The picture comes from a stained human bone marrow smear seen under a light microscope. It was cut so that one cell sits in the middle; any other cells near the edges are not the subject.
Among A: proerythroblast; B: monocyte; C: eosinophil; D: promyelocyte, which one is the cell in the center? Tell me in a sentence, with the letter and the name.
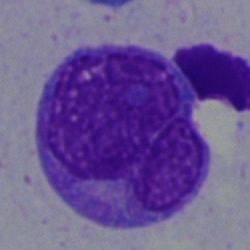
Option D holds, for the cell in the middle is a promyelocyte.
